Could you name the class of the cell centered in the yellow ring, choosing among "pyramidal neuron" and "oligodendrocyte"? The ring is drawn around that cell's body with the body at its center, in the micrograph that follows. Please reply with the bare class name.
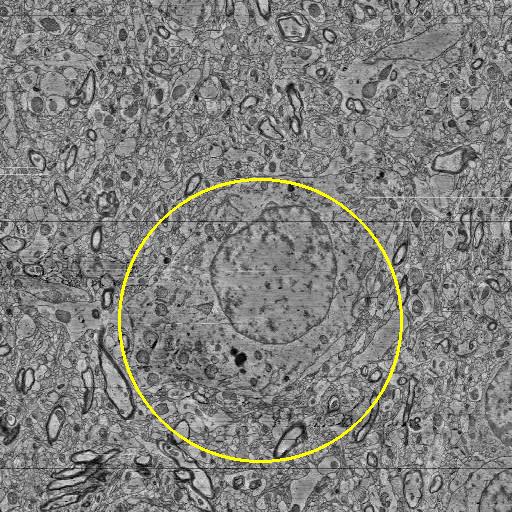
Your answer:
pyramidal neuron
